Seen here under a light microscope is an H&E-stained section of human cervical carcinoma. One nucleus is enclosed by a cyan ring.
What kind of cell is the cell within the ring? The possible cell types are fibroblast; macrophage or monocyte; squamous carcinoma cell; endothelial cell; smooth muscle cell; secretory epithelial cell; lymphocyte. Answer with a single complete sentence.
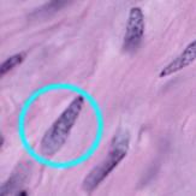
On this particular slide, the cell within the ring is a fibroblast.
